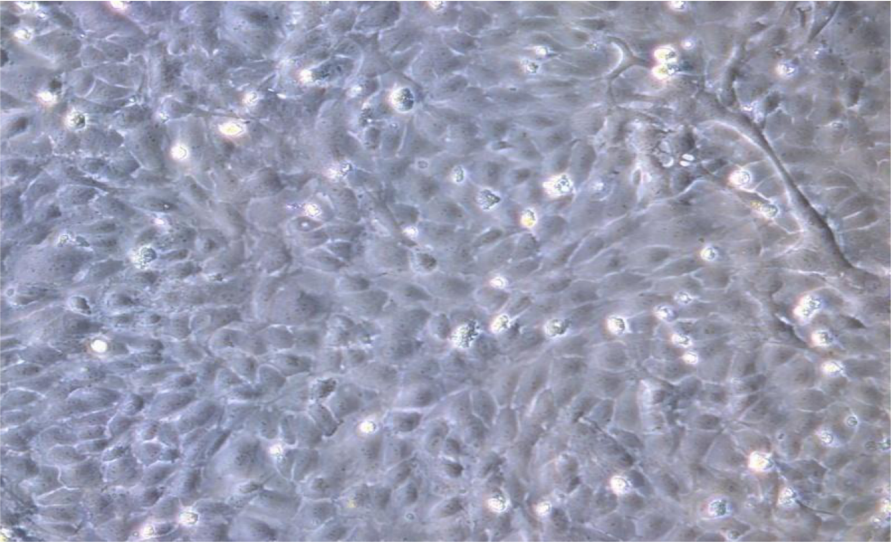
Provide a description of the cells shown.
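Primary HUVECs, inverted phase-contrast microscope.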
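A dense, continuous sheet of flat cultured cells fills the field, with no open spaces between neighbours. Each cell is broad and polygonal, outlined by a thin bright border, and the cells are of fairly even size. Together they fit against one another like paving stones, giving a cobblestone pattern. Scattered small round bright bodies sit on top of the sheet, likely rounded or detaching cells. This is a confluent monolayer of closely apposed, homogenous cells.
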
